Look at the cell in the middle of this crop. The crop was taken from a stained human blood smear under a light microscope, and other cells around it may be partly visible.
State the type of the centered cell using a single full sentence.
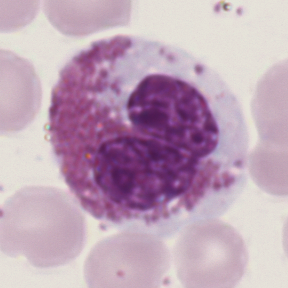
This crop's central cell is an eosinophil.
